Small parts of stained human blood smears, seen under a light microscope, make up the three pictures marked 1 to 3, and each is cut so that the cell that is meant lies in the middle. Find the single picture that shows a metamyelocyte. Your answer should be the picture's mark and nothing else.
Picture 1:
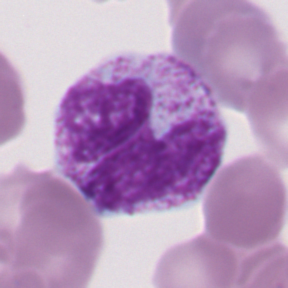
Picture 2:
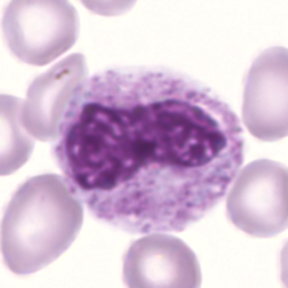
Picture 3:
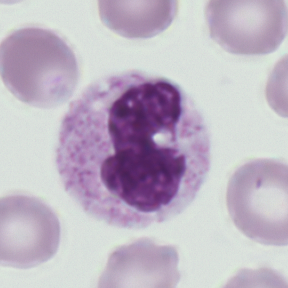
2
